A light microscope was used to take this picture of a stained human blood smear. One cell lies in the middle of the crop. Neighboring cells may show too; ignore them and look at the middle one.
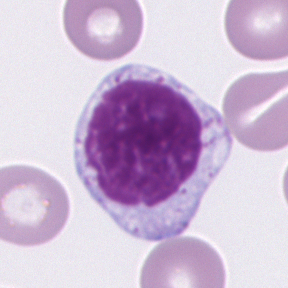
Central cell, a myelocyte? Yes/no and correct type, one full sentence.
No, the central cell is classed as a large granular lymphocyte and not as a myelocyte.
